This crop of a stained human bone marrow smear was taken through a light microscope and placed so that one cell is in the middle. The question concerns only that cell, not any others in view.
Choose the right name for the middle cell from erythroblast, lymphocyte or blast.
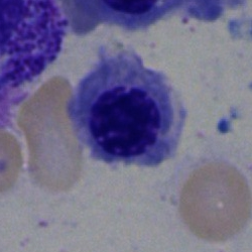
erythroblast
